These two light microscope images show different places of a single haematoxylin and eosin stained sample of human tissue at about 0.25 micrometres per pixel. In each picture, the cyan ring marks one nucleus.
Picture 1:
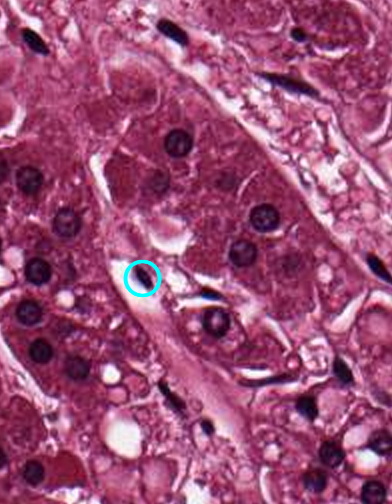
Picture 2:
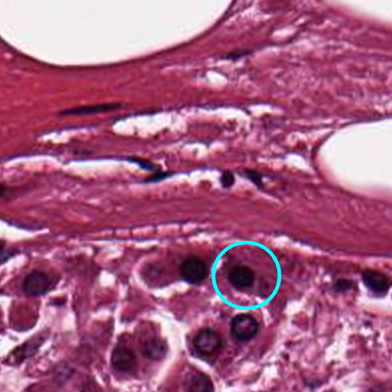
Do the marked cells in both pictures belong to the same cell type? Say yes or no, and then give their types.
No, the first is an endothelial cell and the second an adrenal cortical cell.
